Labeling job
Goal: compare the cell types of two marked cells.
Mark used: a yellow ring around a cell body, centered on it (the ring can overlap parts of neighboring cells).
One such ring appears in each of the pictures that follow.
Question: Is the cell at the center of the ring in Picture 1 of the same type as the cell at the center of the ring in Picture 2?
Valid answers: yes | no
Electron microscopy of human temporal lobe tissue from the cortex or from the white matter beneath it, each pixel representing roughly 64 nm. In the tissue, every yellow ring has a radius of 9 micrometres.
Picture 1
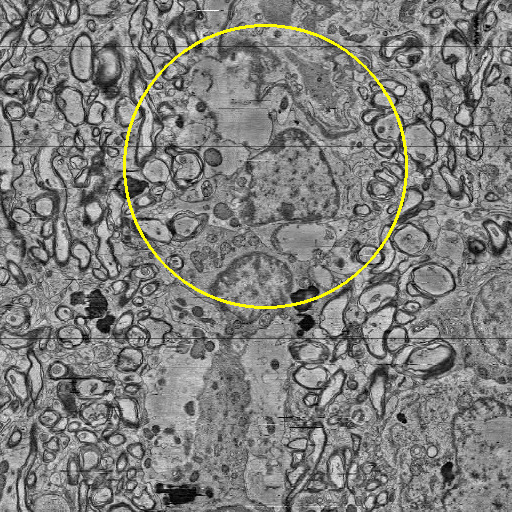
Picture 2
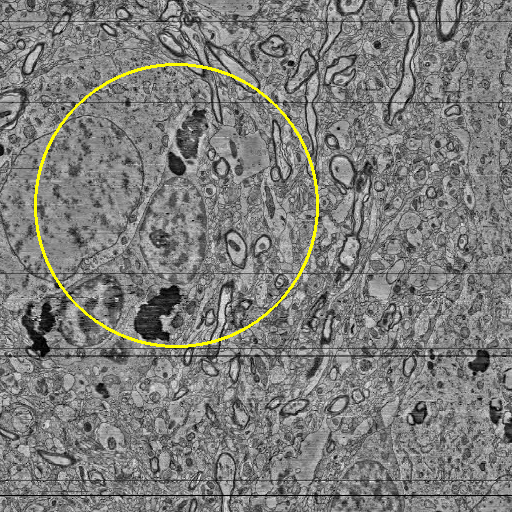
no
